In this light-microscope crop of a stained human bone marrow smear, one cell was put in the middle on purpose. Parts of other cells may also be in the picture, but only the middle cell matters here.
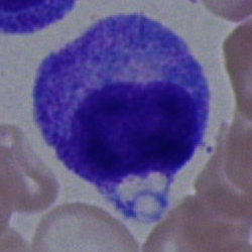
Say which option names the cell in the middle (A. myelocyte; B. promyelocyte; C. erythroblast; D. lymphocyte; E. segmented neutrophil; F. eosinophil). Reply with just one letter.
B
